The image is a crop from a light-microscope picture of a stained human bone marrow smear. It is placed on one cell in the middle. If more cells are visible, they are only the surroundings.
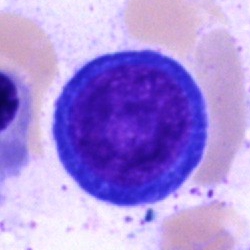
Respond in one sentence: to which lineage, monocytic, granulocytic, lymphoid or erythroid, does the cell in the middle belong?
The cell in the middle comes from the erythroid lineage of blood cells.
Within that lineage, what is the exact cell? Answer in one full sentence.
The crop's centre is taken up by a proerythroblast.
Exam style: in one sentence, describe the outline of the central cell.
The membrane contour is even and smooth, with nothing projecting from it.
